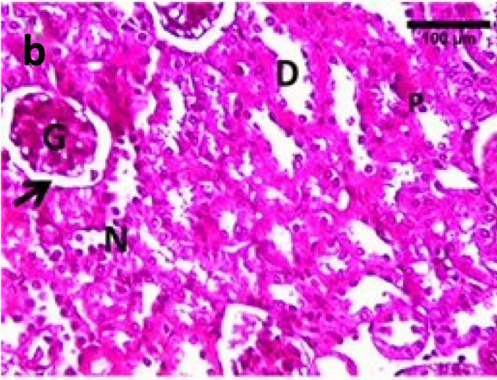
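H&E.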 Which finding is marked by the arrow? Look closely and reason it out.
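The arrow points to a wide clear space between a glomerular tuft and its surrounding capsule. The clear rim around the tuft is broad.
Hence: dilatation of urinary space in Bowman’s capsule.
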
